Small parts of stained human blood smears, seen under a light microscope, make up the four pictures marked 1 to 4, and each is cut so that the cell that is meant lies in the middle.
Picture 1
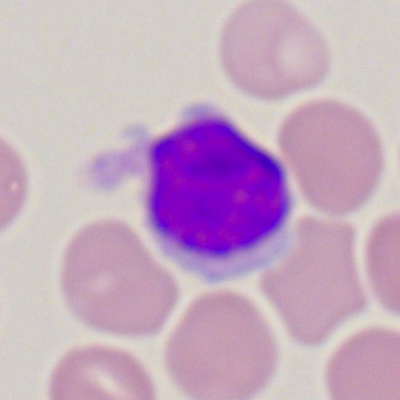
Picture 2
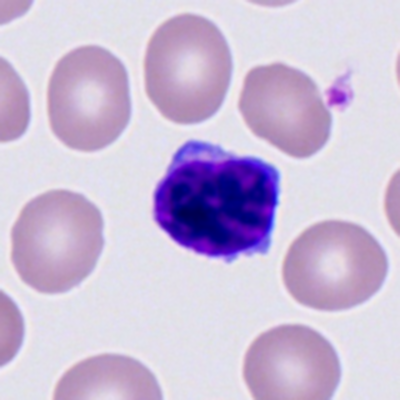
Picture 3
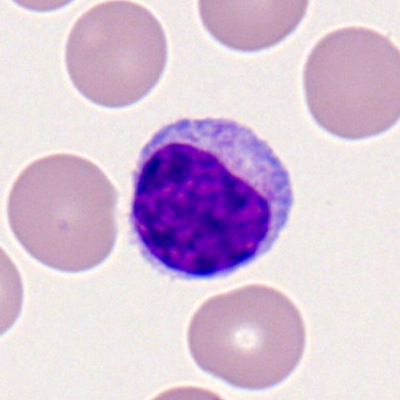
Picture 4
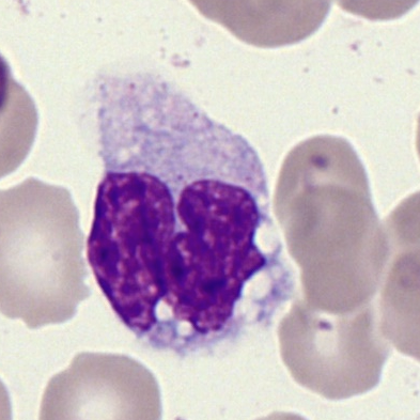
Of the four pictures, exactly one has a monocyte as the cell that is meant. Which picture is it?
4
